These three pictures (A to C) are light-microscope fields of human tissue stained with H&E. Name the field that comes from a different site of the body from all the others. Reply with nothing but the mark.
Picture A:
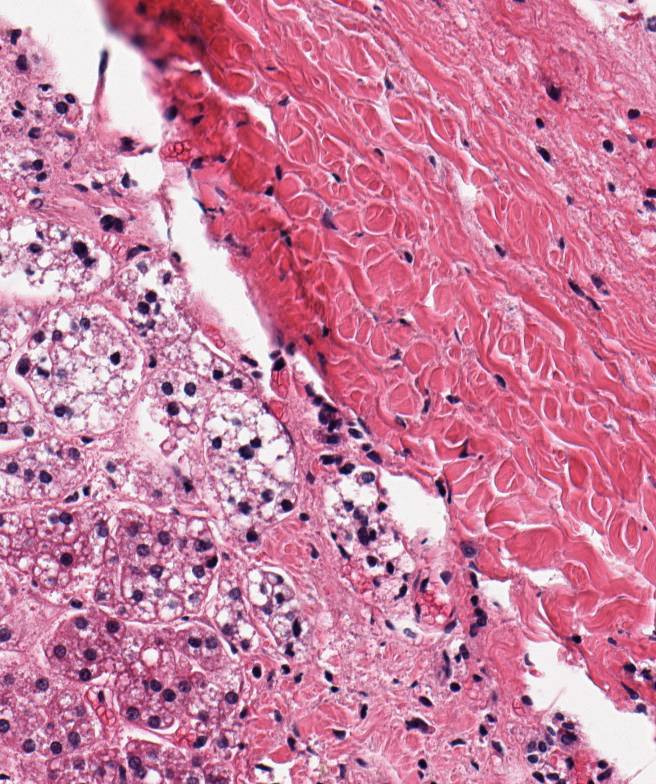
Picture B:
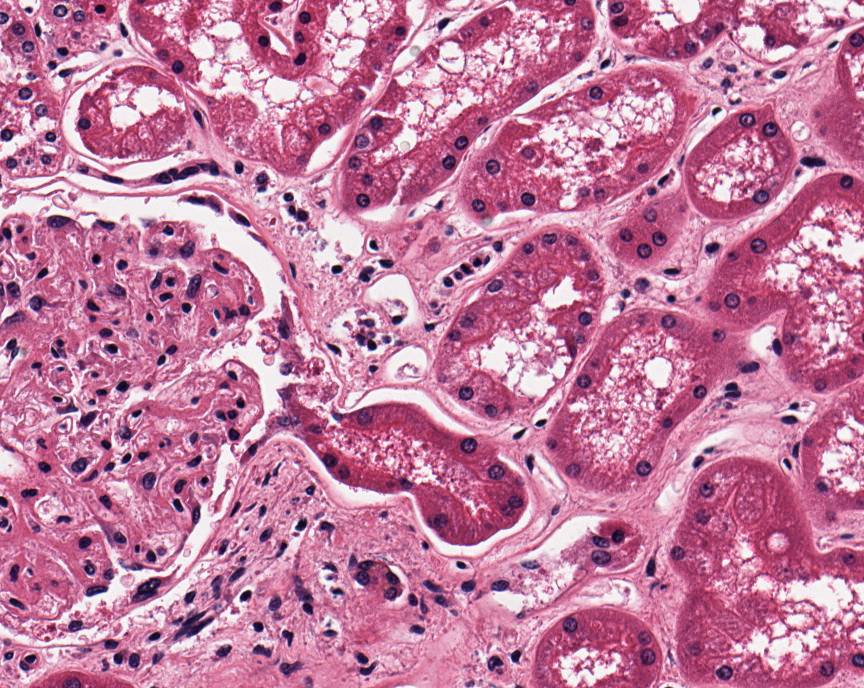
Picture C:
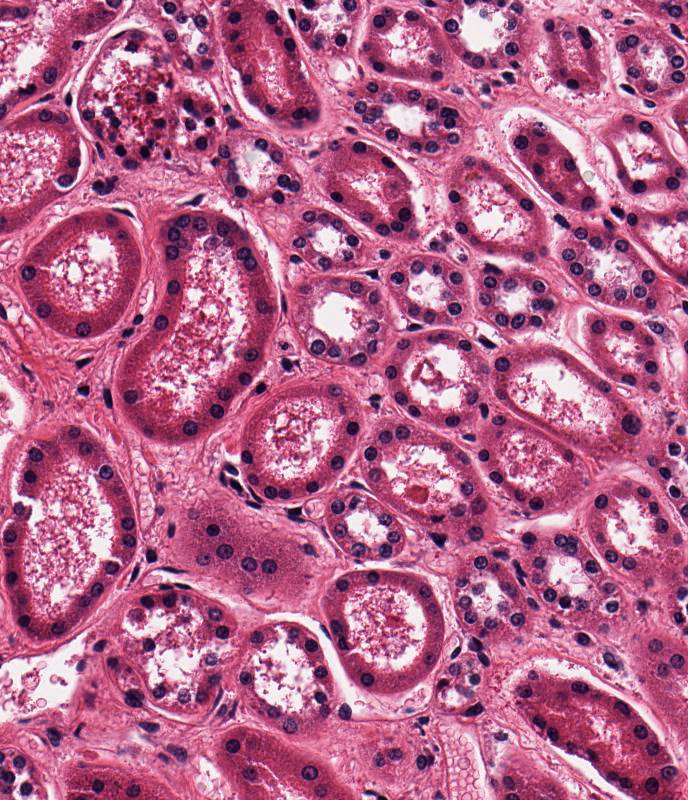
A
